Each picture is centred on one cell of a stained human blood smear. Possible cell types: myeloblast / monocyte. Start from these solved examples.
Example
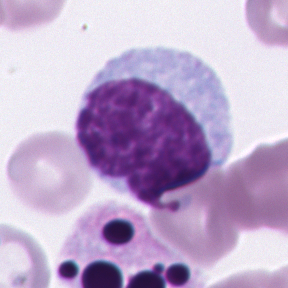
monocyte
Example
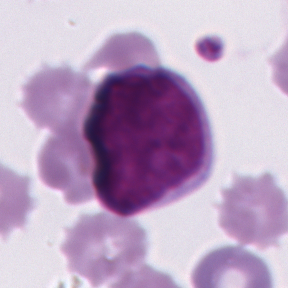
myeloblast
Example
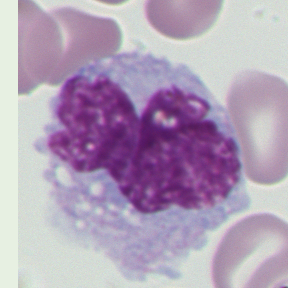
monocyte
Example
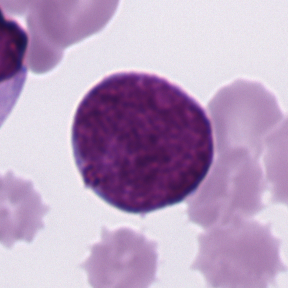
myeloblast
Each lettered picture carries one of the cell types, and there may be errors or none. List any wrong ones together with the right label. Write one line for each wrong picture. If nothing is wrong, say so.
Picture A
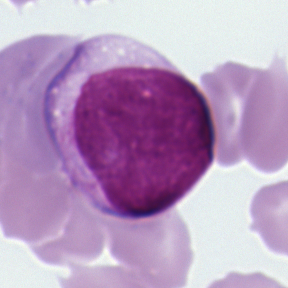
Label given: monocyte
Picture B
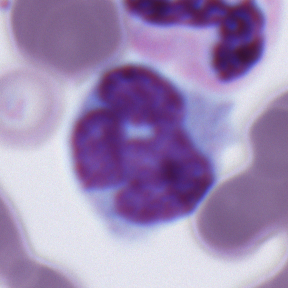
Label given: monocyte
A should be myeloblast, not monocyte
